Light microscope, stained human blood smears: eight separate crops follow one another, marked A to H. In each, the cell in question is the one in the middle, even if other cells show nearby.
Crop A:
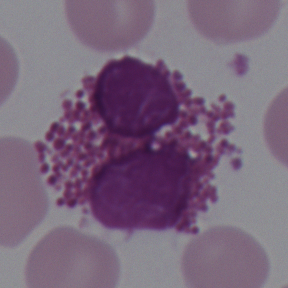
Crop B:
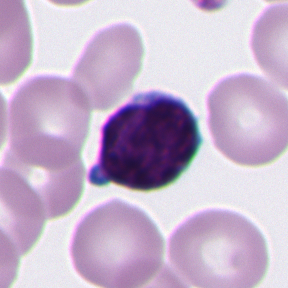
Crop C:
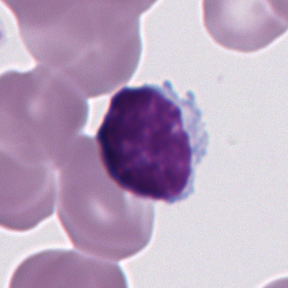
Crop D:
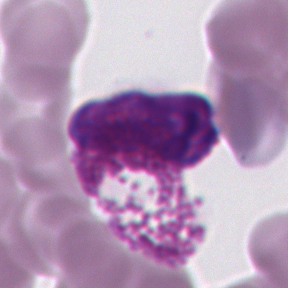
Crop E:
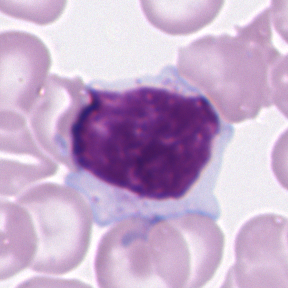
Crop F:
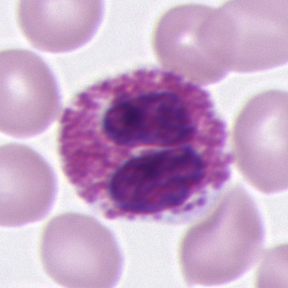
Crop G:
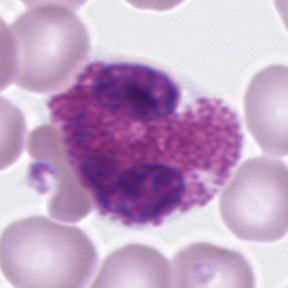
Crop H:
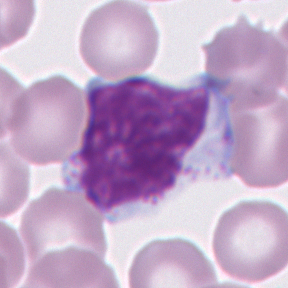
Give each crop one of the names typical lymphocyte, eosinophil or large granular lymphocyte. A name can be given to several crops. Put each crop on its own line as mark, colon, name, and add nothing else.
A: eosinophil
B: typical lymphocyte
C: typical lymphocyte
D: eosinophil
E: large granular lymphocyte
F: eosinophil
G: eosinophil
H: large granular lymphocyte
